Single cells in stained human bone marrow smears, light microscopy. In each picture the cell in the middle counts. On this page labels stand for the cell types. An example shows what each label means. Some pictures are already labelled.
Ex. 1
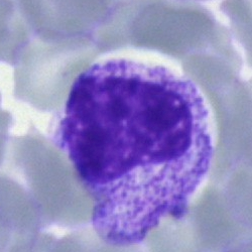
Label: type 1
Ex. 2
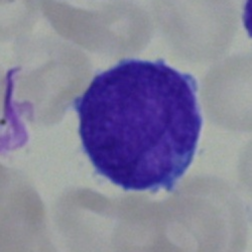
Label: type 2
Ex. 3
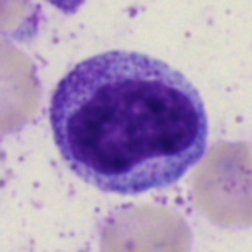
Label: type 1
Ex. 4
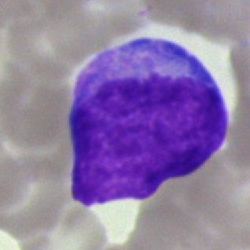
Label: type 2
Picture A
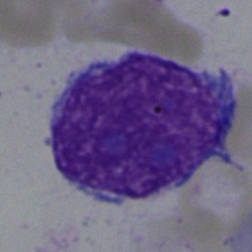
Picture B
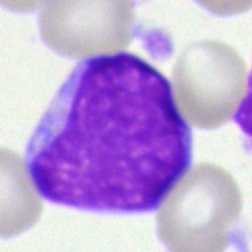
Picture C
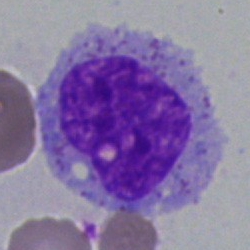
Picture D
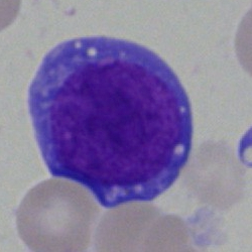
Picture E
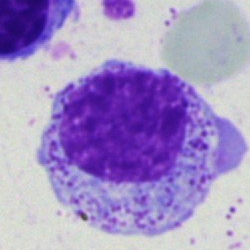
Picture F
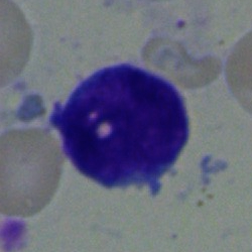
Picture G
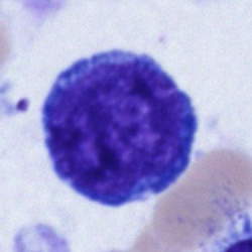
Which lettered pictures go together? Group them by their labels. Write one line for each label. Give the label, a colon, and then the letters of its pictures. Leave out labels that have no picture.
type 1: C, E
type 2: A, B, D, F, G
